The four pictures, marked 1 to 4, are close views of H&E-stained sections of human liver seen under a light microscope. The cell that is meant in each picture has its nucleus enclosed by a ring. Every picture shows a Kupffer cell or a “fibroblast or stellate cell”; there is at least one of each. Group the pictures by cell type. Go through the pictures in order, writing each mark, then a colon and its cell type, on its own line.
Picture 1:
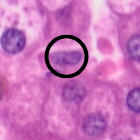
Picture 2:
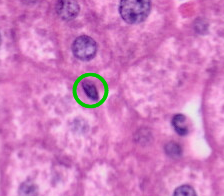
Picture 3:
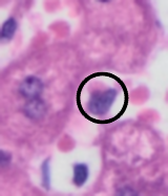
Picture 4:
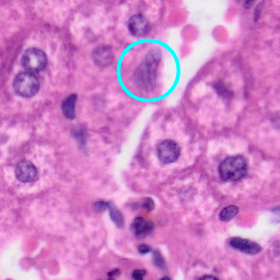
1: Kupffer cell
2: fibroblast or stellate cell
3: Kupffer cell
4: Kupffer cell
